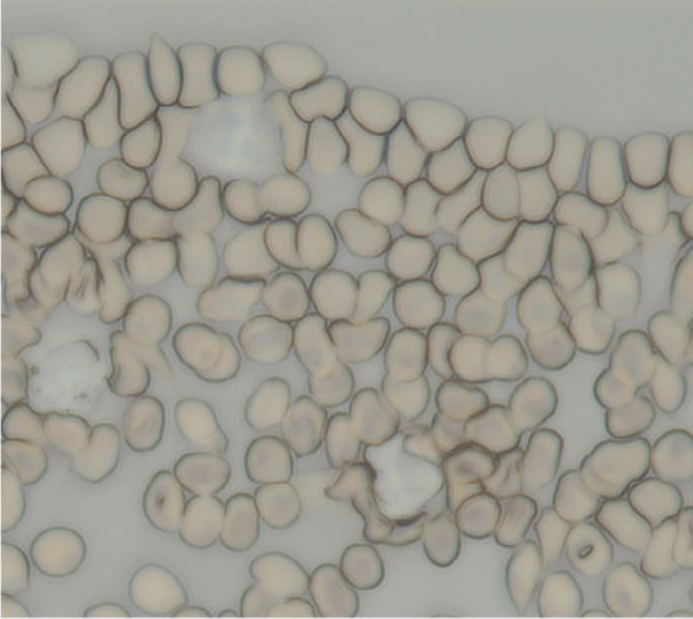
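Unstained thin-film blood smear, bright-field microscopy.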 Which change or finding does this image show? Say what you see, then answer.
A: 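Cells are packed closely with little background between them. Many cells press against or lie over neighbours, with distorted shapes. Boundaries between adjacent cells are blurred or merged in places.
Conclusion: cells overlap or touch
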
